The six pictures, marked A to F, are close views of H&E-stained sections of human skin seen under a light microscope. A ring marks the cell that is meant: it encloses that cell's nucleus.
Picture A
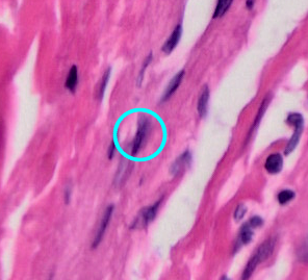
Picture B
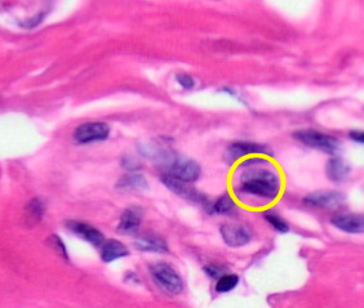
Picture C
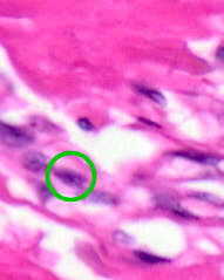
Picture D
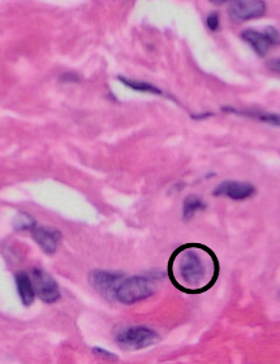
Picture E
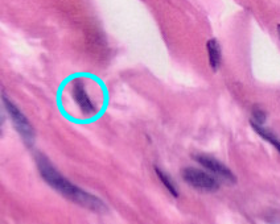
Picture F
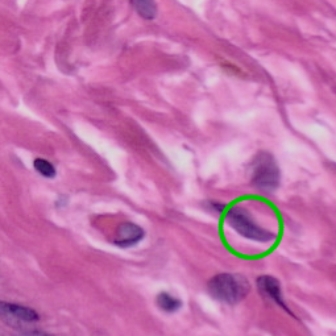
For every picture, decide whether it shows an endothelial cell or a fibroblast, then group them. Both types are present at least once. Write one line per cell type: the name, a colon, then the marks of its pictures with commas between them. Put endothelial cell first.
endothelial cell: A, B, C, D
fibroblast: E, F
